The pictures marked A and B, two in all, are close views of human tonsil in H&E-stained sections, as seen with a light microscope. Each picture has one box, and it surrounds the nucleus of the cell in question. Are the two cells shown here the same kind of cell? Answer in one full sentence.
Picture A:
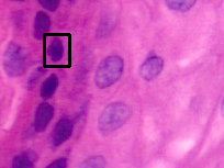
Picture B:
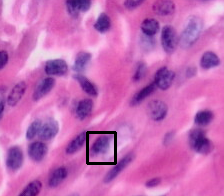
No, they differ: the cell is a squamous epithelial cell in picture A and an endothelial cell in picture B.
